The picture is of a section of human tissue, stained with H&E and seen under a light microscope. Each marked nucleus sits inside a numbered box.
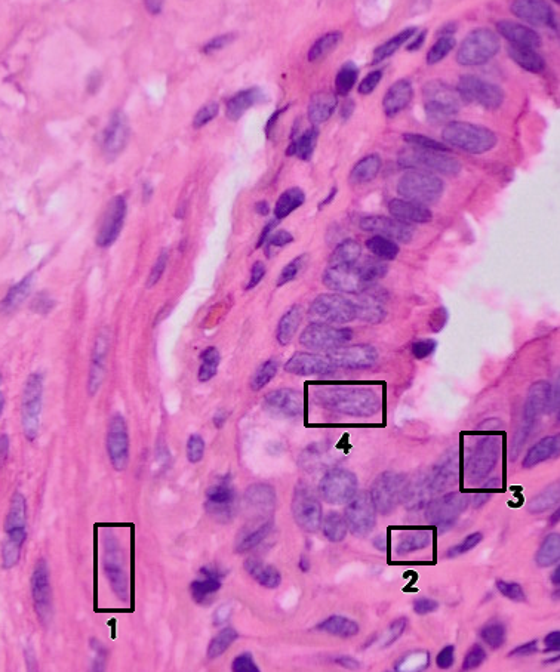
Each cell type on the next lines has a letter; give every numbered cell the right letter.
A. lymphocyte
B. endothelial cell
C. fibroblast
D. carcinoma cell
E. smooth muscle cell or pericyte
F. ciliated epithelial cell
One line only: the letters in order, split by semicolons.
E; F; F; F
